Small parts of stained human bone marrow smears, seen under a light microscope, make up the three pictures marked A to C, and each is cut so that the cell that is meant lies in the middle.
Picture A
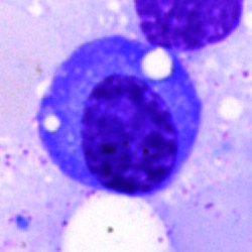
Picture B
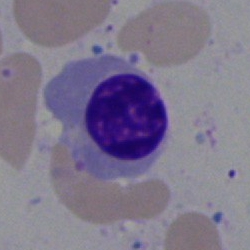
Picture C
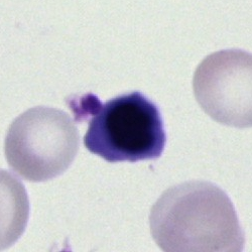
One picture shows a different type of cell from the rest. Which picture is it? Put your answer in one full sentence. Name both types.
All pictures except A show erythroblasts; picture A shows a plasma cell.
